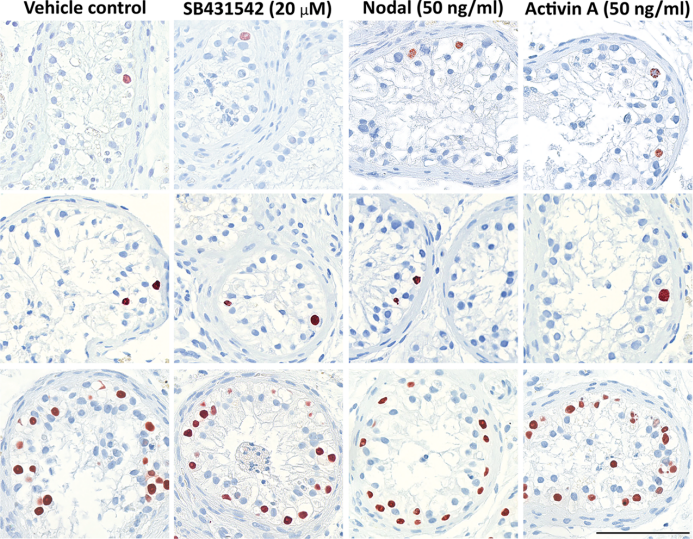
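Cross-sectioned tubules of testis are bounded by thin walls of flattened cells with elongated nuclei and are lined inside by cells with round, blue-stained nuclei and pale, wispy cytoplasm. In some images only one or two nuclei are stained brown. In others many brown nuclei sit in a row along the base of the tubules.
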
